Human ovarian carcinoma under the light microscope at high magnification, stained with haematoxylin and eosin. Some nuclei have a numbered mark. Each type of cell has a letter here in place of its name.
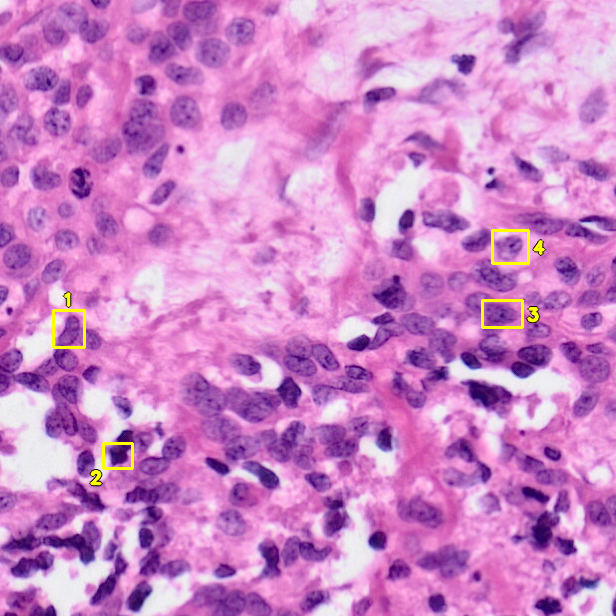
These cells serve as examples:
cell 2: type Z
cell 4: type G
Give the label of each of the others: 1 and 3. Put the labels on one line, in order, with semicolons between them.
type Z; type Z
